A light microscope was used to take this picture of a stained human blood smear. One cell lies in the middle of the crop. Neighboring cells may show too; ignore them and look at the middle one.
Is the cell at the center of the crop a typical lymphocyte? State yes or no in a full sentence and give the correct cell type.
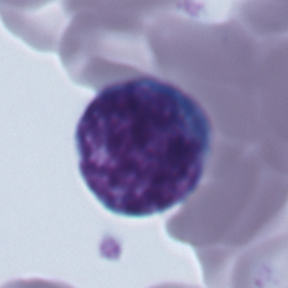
Yes, this central cell is a typical lymphocyte.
